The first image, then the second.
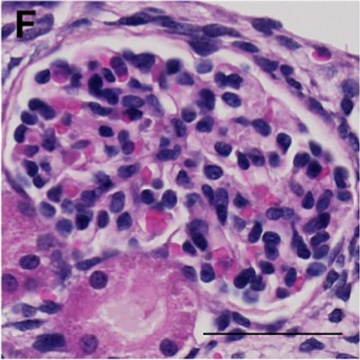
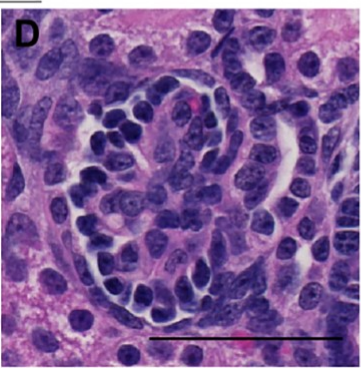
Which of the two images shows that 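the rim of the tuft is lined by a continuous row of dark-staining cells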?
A: The second image.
